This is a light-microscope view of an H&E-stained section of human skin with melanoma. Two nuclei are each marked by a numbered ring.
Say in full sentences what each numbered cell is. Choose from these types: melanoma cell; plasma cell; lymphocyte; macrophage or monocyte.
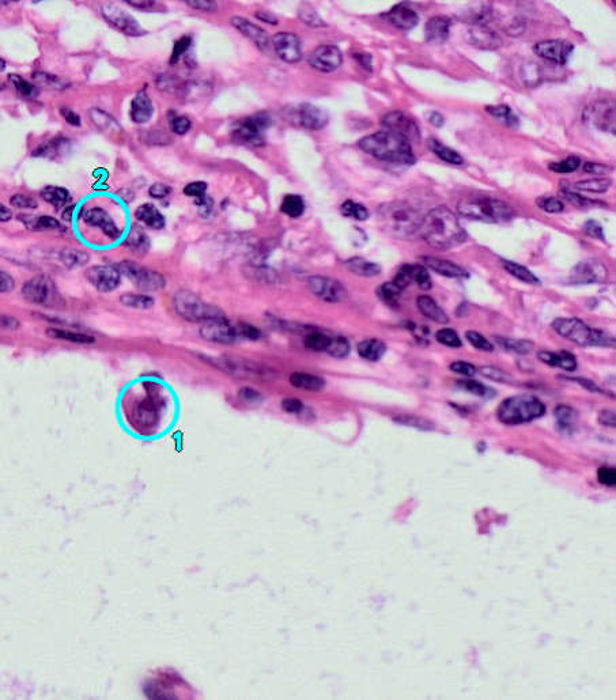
Cell 1 is a melanoma cell and cell 2 is a lymphocyte.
